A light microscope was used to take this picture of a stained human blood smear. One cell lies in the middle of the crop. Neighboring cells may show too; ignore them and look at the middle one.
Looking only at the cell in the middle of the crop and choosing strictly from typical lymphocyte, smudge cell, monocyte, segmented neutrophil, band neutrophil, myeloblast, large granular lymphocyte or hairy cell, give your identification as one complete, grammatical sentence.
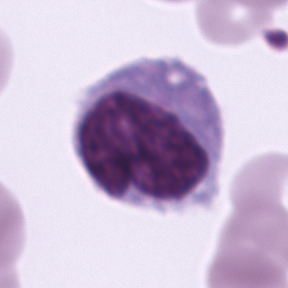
The middle of this crop is occupied by a monocyte.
